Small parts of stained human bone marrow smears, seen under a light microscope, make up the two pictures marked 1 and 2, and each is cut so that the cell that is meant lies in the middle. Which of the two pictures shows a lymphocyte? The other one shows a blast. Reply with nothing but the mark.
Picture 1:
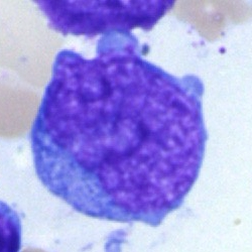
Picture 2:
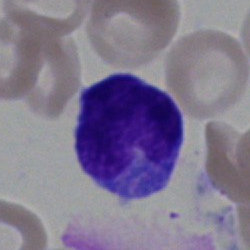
2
